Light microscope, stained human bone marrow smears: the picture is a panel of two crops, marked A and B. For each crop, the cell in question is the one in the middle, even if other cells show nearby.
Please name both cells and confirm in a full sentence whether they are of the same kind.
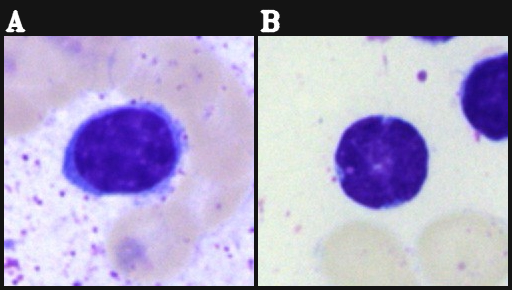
Yes, the two crops show lymphocytes at their centres.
